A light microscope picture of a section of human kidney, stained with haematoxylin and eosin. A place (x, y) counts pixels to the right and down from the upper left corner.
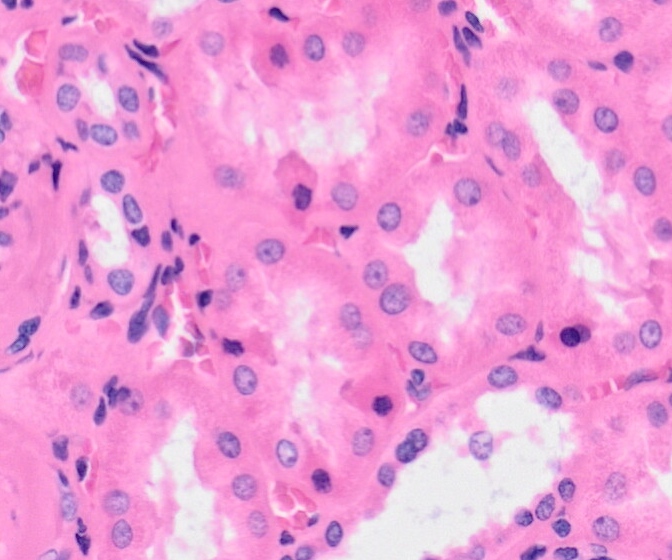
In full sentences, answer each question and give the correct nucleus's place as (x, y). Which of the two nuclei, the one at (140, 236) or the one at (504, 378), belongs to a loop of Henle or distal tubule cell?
The cell to which the nucleus at (504, 378) belongs is a loop of Henle or distal tubule cell.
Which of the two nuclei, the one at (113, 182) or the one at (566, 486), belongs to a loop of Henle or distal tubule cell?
Which one belongs to a loop of Henle or distal tubule cell? The nucleus at (566, 486) does.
